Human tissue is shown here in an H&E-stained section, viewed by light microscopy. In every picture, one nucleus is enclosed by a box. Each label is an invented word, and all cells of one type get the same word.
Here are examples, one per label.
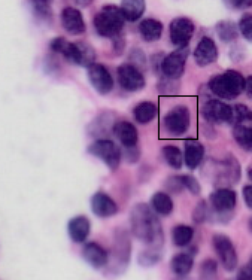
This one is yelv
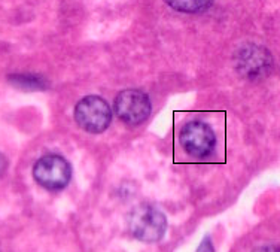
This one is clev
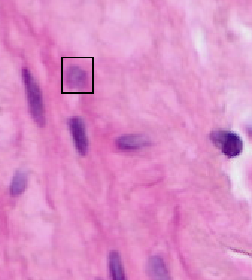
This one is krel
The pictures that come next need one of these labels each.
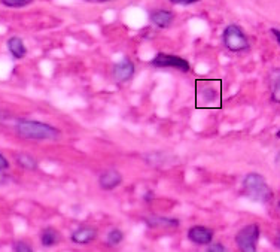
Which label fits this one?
krel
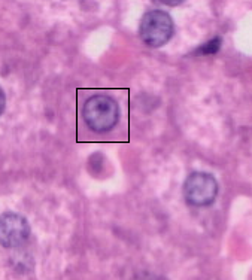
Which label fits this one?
clev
